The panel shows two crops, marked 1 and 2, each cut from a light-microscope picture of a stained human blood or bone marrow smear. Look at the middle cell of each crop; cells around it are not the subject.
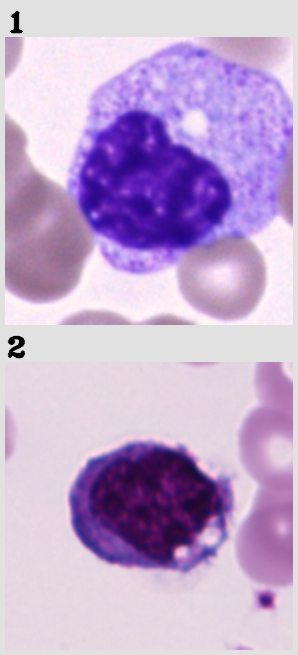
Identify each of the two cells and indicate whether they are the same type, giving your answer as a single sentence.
No, crop 1 holds a myelocyte, and a monocyte occupies crop 2.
